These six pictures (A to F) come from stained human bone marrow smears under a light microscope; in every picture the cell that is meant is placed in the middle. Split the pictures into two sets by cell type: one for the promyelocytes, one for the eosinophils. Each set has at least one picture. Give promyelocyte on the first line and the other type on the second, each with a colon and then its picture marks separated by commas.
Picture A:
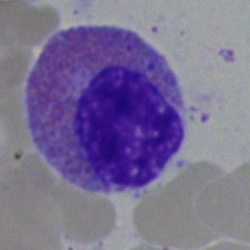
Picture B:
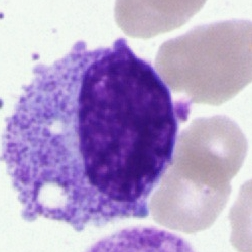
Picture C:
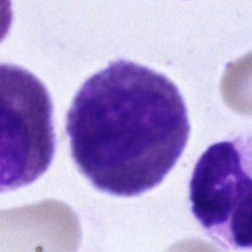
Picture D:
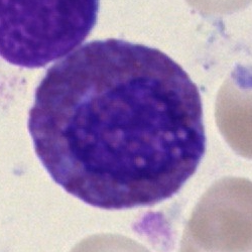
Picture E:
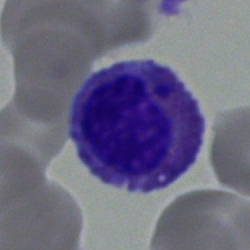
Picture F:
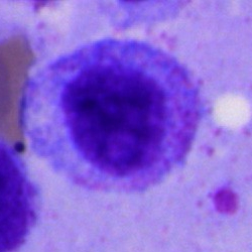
promyelocyte: B, F
eosinophil: A, C, D, E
